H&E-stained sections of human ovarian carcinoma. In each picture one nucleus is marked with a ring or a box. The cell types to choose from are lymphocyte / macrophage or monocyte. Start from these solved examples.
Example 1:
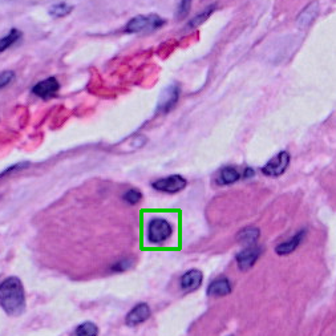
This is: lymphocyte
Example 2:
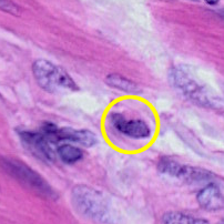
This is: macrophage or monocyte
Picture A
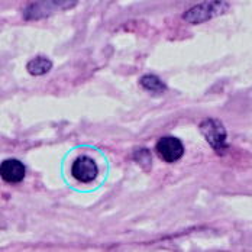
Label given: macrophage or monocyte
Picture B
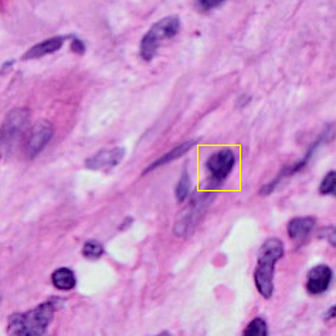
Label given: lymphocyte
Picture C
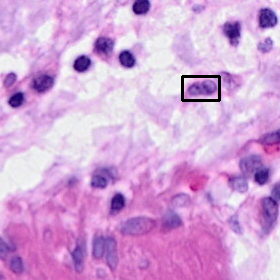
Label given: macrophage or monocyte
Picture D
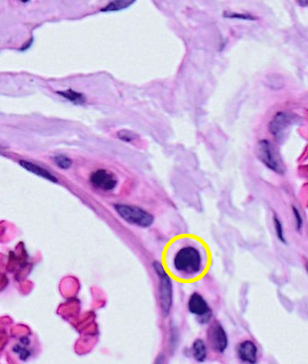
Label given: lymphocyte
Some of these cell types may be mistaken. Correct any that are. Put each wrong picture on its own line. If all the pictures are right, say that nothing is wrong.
A: change macrophage or monocyte to lymphocyte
